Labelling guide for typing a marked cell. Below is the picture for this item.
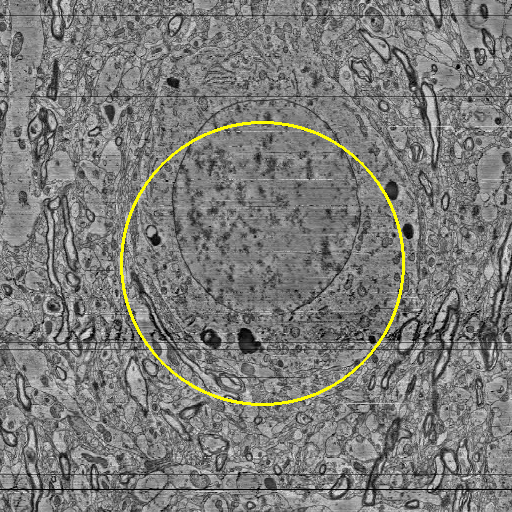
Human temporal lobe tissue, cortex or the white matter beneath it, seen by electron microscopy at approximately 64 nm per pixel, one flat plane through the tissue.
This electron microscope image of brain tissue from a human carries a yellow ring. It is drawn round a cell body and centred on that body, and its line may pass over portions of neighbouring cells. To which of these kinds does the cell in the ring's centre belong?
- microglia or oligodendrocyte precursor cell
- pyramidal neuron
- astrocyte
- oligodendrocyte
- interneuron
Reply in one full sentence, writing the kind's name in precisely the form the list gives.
Here we have a pyramidal neuron at the centre of the yellow ring in the picture.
